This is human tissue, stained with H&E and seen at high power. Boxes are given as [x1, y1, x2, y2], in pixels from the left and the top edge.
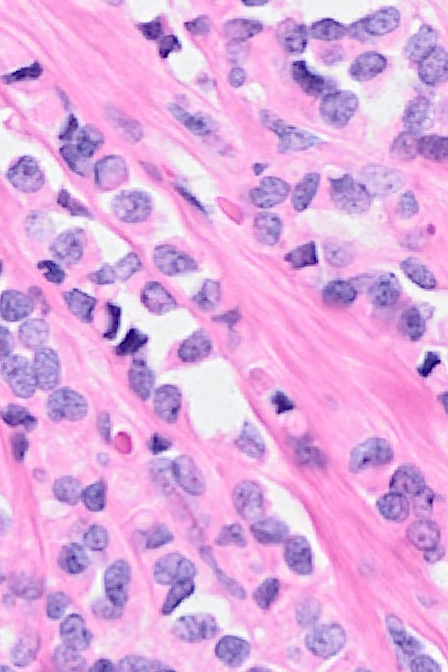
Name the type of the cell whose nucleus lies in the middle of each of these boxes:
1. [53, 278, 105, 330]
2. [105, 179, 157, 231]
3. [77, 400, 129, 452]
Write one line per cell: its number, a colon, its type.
1: carcinoma cell
2: carcinoma cell
3: endothelial cell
